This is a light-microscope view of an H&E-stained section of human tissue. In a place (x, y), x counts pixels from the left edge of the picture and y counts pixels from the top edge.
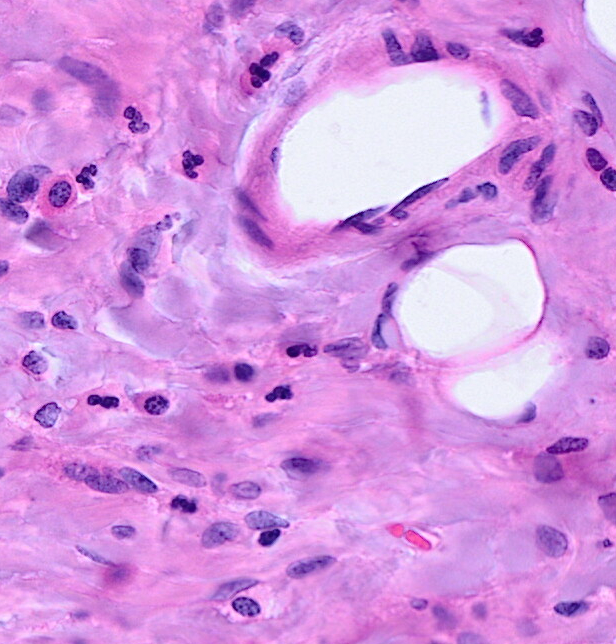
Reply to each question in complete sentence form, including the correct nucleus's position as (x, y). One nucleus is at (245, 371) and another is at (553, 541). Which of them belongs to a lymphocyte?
The pair contains one nucleus of a lymphocyte, namely the one at (245, 371).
